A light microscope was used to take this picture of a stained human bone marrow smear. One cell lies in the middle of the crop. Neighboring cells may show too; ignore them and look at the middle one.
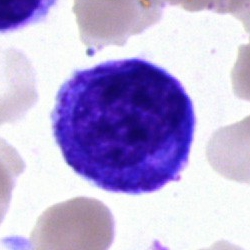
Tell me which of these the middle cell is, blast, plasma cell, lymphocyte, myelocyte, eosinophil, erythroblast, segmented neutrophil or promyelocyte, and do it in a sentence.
The cell occupying the middle of the crop is a promyelocyte.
